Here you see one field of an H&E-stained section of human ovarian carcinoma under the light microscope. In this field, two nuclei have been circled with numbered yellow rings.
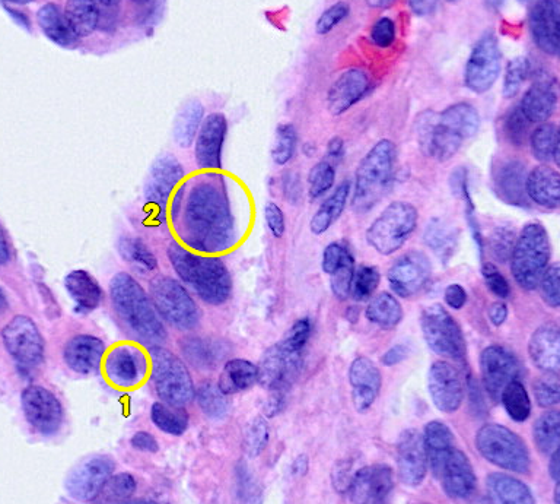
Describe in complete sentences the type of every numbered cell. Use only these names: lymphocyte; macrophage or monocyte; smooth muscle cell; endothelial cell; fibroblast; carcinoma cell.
Cell 1 is a lymphocyte and cell 2 is a carcinoma cell.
